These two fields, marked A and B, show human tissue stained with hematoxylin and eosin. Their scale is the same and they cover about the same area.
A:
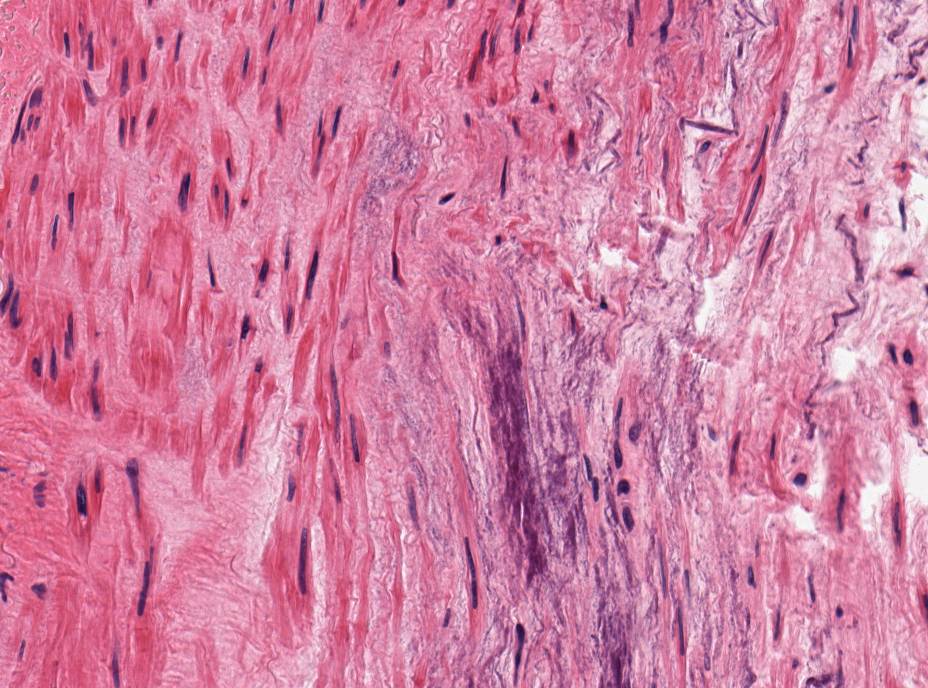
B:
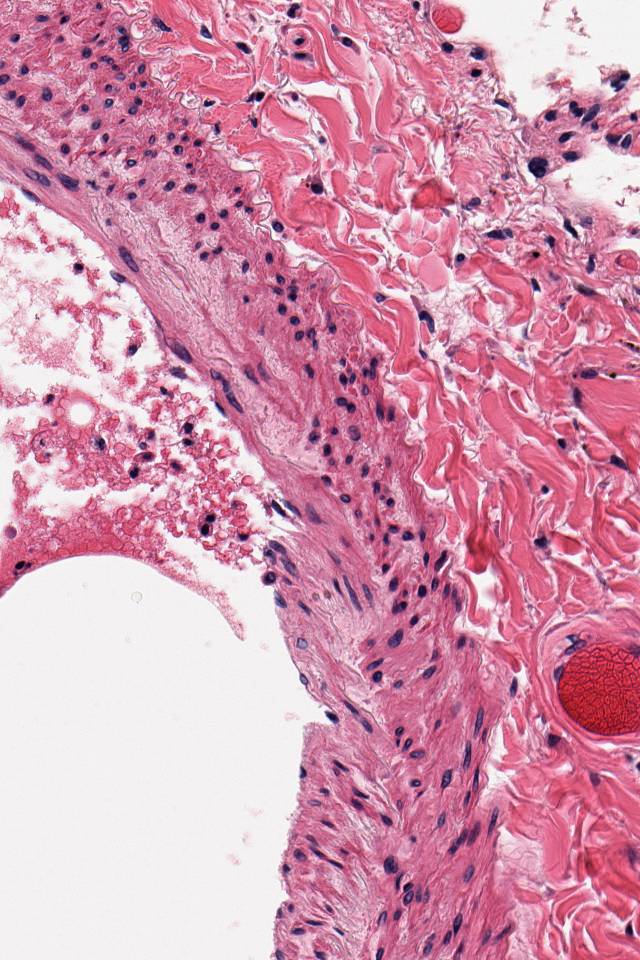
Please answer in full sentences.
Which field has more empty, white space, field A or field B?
It is field B in which white space covers the larger part.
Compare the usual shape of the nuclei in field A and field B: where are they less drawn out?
The nuclei are rounder in field B.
